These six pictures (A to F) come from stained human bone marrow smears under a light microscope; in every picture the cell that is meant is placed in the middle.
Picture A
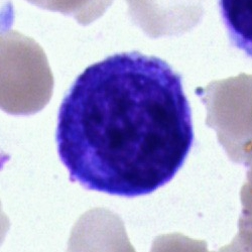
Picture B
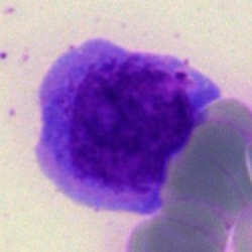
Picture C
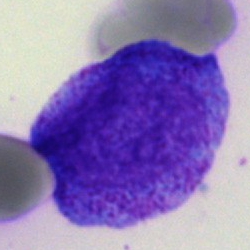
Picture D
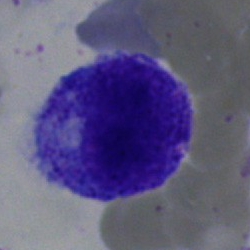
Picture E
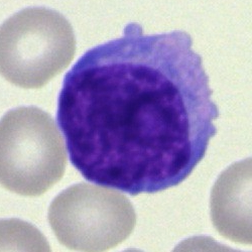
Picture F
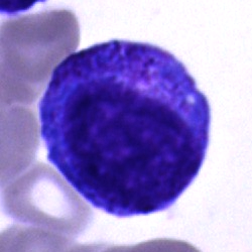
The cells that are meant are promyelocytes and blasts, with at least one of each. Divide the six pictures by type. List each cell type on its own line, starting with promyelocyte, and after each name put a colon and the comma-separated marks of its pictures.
promyelocyte: A, C, D, F
blast: B, E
